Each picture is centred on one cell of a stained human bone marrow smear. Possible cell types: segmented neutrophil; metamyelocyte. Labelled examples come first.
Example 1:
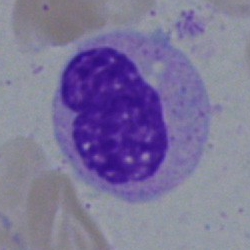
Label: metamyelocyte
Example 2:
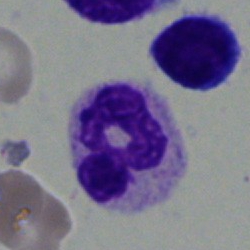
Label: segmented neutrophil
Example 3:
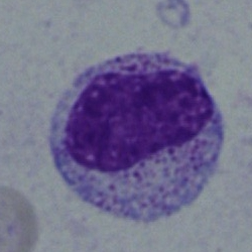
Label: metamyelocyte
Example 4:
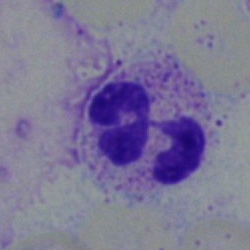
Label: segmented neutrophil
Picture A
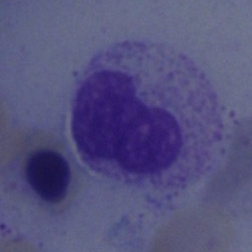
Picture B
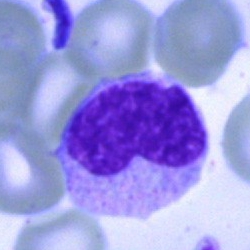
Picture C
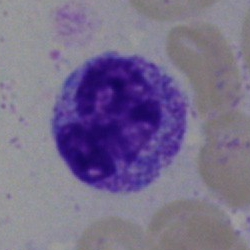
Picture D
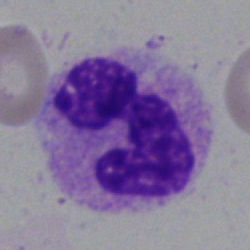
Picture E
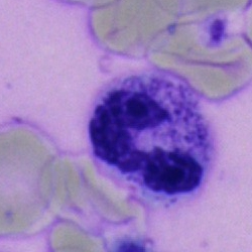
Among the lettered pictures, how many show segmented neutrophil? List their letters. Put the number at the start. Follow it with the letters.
Count: 2 (D, E)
